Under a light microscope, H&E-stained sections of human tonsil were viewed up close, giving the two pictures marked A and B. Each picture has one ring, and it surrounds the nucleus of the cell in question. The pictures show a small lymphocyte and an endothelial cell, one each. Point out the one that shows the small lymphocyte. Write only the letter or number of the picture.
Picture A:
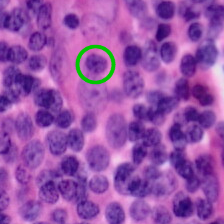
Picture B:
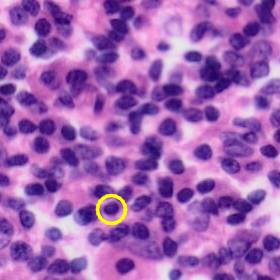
B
